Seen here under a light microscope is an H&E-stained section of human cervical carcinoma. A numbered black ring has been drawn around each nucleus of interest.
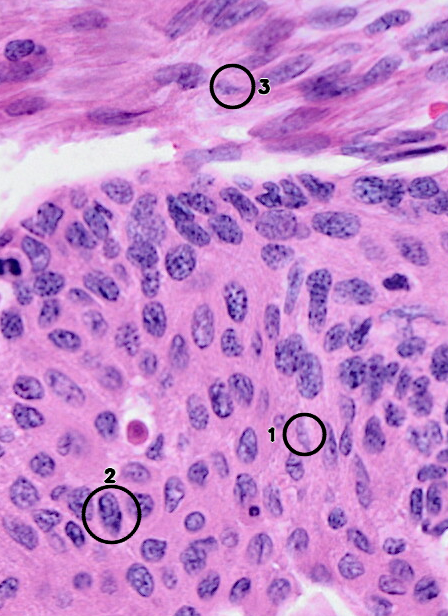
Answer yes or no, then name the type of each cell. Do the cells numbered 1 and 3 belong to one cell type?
No, cell 1 is a squamous carcinoma cell, and cell 3 is, by contrast, a fibroblast.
